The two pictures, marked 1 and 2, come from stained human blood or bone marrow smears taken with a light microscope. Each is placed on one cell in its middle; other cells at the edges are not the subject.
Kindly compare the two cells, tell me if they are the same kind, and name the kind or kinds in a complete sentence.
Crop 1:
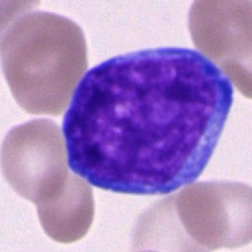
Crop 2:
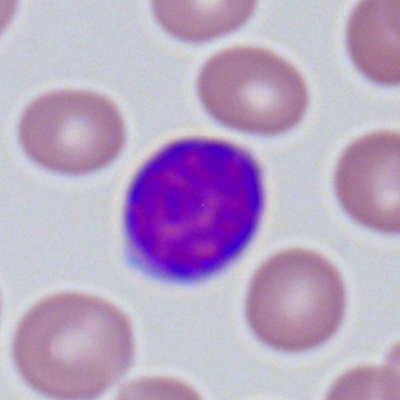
No, a lymphocyte is in crop 2, and a blast is in crop 1.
